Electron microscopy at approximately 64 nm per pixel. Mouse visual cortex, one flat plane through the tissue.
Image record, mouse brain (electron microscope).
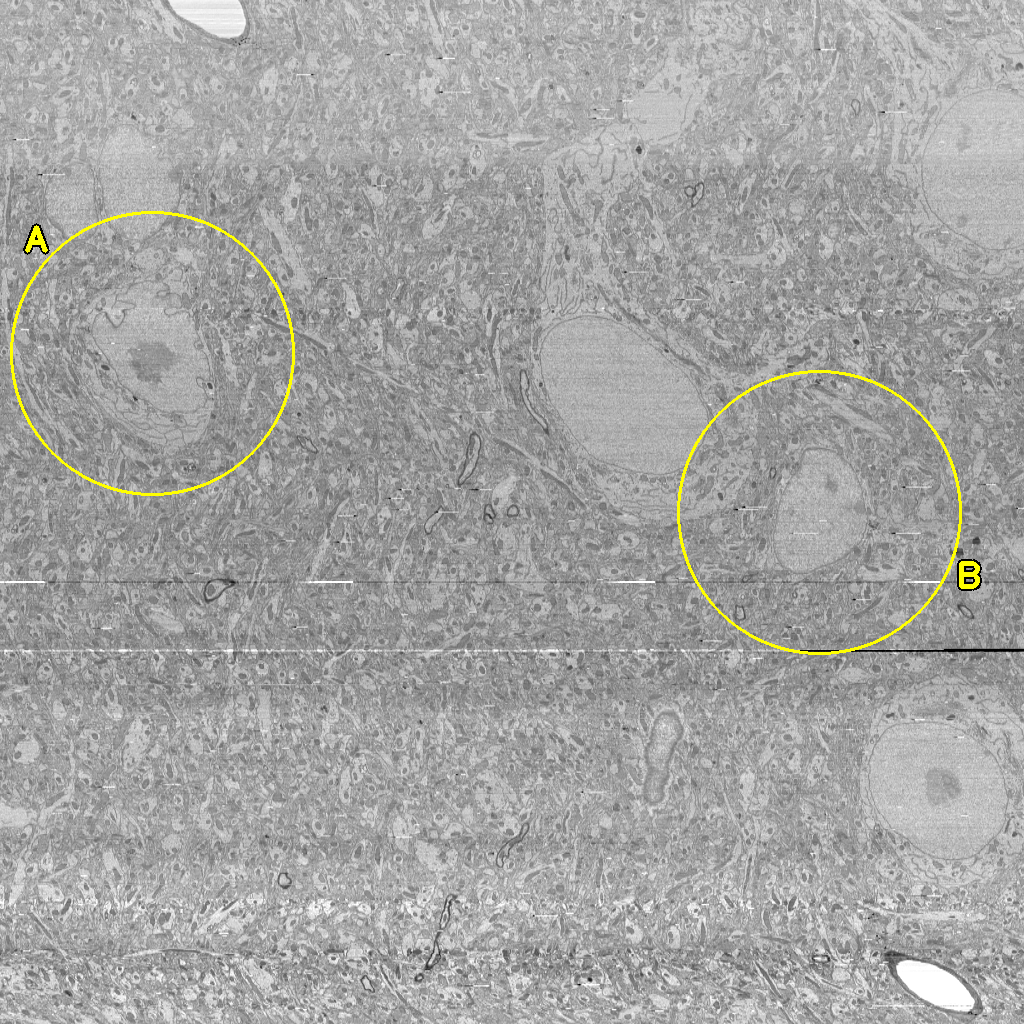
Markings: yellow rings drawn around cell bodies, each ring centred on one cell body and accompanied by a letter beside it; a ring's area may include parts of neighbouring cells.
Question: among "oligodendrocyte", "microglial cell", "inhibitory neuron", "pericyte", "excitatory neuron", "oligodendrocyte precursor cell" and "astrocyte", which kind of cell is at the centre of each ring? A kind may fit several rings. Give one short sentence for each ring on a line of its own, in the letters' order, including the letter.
Ring A is centred on the cell body of an inhibitory neuron.
Ring B is centred on the cell body of an astrocyte.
